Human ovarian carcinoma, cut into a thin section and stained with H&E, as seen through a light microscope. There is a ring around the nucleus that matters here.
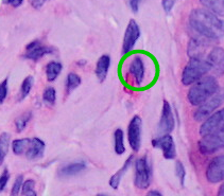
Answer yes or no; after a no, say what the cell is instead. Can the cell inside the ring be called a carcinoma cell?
No, it is an endothelial cell.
